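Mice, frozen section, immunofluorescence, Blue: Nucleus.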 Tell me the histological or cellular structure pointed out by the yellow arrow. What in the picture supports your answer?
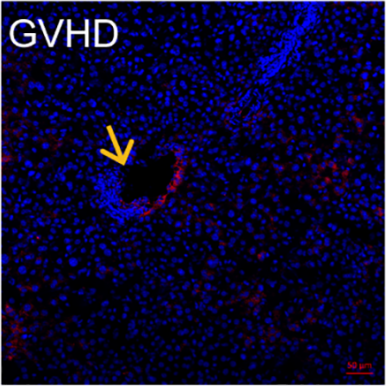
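The yellow arrow points at the rim of a large open vessel lumen. Blue nuclei crowd along the rim under the arrow. The answer: vascular endothelium.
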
